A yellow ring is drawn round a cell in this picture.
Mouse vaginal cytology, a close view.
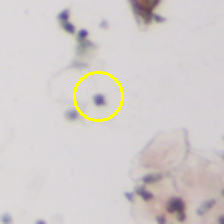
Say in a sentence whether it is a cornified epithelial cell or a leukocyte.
The cell in the ring is a leukocyte.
